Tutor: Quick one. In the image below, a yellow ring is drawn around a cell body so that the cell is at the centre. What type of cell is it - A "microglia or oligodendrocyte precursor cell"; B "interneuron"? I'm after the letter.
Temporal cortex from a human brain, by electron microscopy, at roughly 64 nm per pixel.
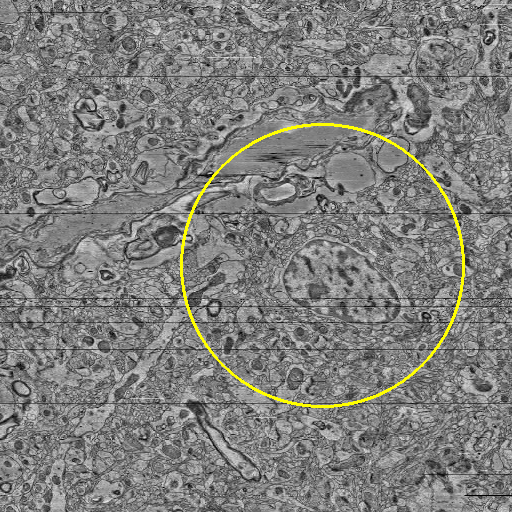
A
